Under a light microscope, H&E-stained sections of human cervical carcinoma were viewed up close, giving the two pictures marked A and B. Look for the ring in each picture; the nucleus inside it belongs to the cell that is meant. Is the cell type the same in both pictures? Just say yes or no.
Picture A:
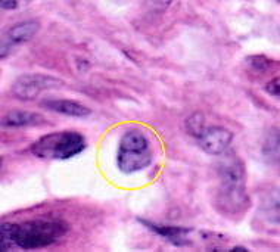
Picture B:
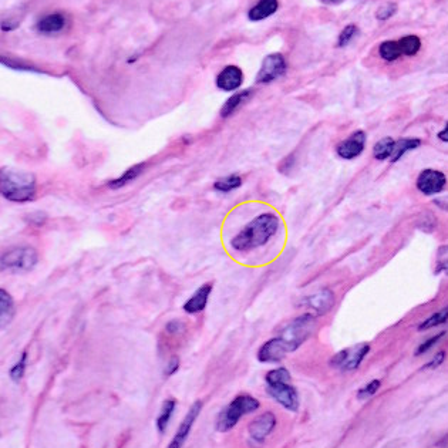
yes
